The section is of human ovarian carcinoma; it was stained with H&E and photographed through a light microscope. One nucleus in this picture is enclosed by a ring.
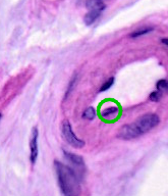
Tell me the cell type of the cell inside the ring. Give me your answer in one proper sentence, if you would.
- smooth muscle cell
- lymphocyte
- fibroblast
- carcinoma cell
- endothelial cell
What the cell inside the ring represents is an endothelial cell.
